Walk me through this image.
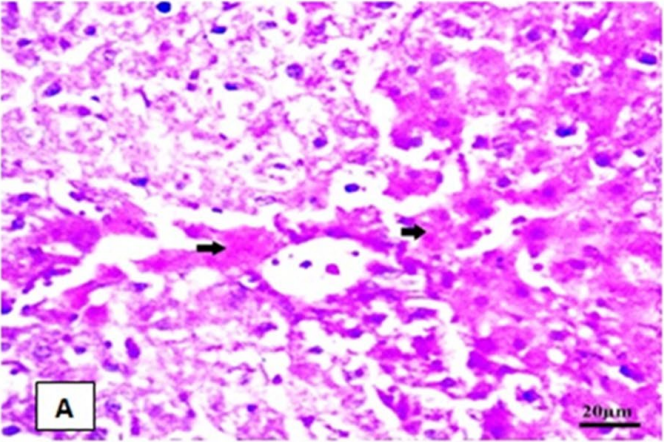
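Here are hepatocytes of the liver around a small vessel, many with cytoplasm packed with deep magenta granular material. The staining is patchy in intensity: some cells are dense magenta while others are paler and more finely granular. Small dark nuclei are scattered between the cells, and the cords are loosely arranged with irregular spaces between them.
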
